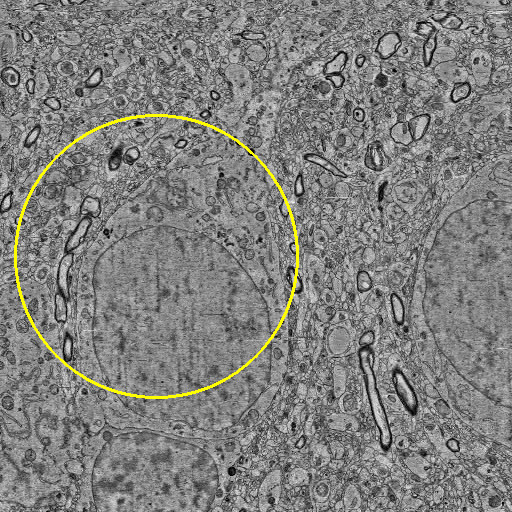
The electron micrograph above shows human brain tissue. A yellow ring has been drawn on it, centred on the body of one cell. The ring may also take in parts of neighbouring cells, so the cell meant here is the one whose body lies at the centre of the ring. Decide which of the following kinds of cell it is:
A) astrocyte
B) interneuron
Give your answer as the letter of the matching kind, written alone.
B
